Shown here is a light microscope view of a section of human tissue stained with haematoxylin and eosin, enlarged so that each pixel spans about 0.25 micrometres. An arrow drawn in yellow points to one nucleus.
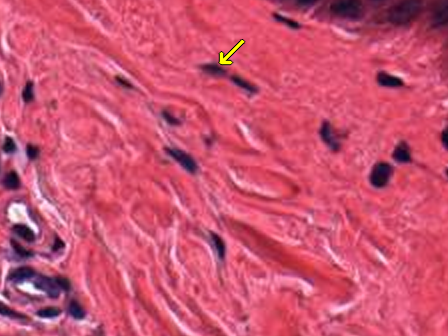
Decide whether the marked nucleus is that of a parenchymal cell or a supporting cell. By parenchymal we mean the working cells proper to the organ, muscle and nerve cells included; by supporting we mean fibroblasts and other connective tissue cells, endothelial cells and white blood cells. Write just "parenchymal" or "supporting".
supporting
